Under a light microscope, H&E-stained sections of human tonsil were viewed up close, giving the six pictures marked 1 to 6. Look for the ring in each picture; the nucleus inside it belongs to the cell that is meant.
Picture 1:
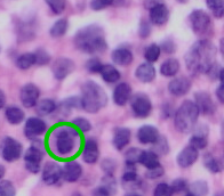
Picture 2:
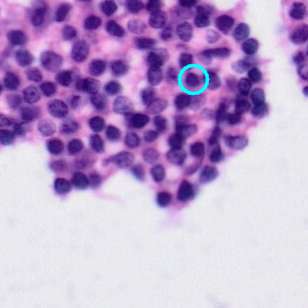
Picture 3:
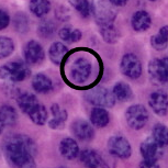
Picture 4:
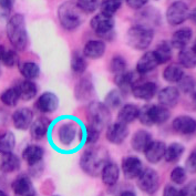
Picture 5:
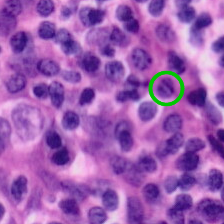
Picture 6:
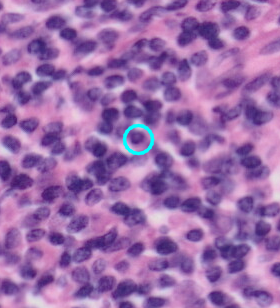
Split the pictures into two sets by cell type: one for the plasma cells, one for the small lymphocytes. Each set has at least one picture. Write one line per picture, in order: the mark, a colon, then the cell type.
1: small lymphocyte
2: small lymphocyte
3: plasma cell
4: small lymphocyte
5: plasma cell
6: small lymphocyte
